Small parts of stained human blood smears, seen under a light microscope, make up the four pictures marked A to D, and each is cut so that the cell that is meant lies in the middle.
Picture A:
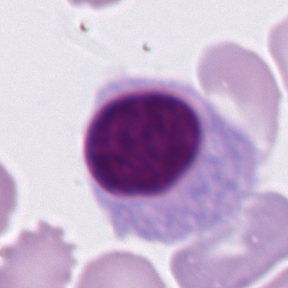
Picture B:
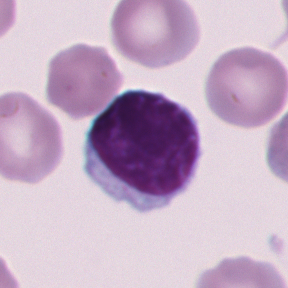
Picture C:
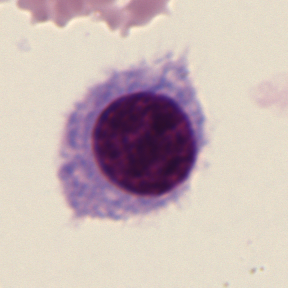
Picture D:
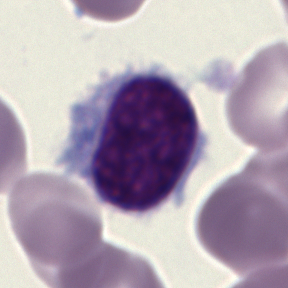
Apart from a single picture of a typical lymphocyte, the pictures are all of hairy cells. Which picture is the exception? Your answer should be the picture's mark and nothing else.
B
